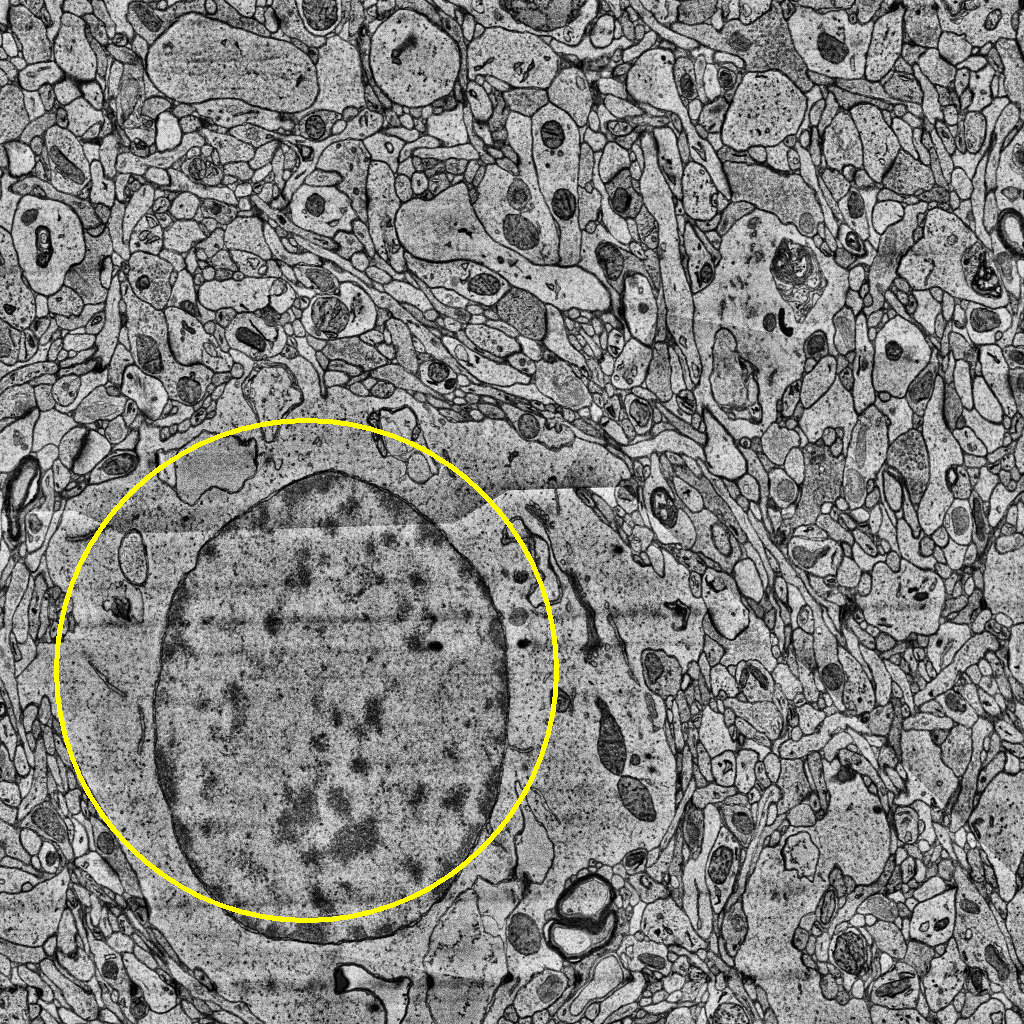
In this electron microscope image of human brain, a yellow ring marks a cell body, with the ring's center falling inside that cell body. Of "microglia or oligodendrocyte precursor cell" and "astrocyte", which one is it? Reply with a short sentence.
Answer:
It is an astrocyte at the center of the ring.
